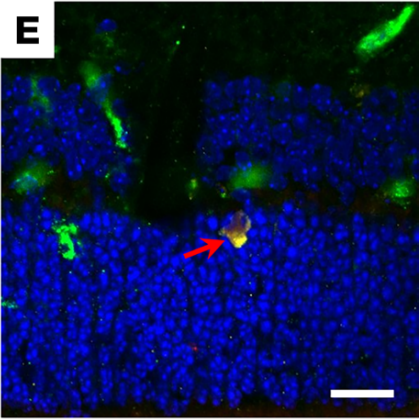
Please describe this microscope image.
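This is a cross section of retina in which the outer nuclear layer forms a thick band of small, densely packed blue nuclei stacked in many rows. Above the band, short green elongated profiles lie in the less cellular inner tissue. The rest of the nuclear band shows no such yellow cells.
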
